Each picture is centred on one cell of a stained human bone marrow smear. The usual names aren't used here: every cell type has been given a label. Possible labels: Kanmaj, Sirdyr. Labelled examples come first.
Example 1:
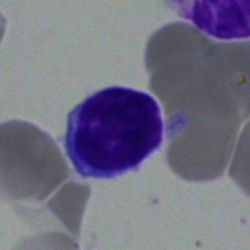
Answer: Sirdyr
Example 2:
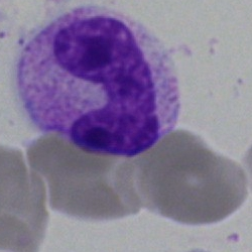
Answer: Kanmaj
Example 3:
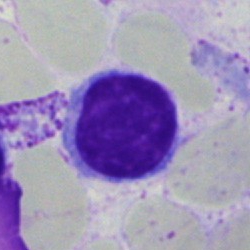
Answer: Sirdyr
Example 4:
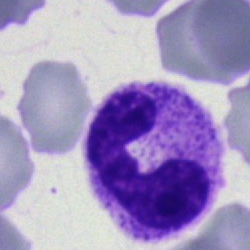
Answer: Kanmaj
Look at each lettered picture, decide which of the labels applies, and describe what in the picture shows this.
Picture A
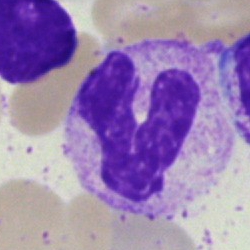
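Answer: Kanmaj. The cytoplasm is abundant and pale pinkish-lilac.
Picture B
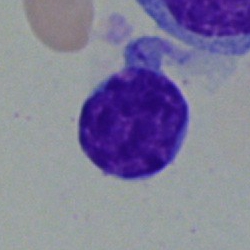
Answer: Sirdyr. Only a very scant rim of cytoplasm is visible around the nucleus.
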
